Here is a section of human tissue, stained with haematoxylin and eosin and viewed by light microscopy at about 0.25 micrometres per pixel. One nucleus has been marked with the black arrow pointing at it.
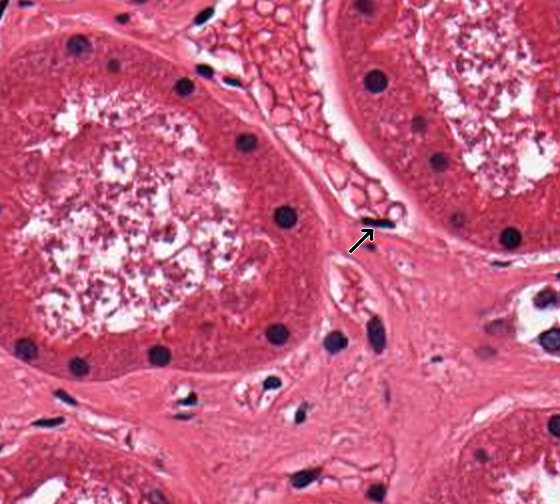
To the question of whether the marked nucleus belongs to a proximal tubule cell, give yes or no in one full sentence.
No, it is to a supporting cell that the marked nucleus belongs, not to a proximal tubule cell.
